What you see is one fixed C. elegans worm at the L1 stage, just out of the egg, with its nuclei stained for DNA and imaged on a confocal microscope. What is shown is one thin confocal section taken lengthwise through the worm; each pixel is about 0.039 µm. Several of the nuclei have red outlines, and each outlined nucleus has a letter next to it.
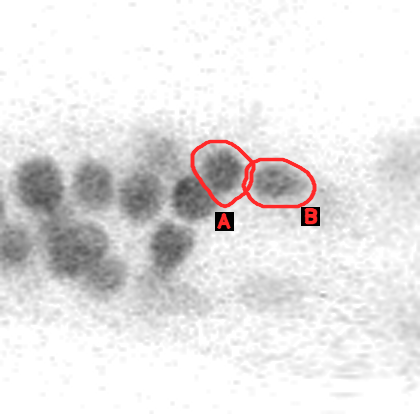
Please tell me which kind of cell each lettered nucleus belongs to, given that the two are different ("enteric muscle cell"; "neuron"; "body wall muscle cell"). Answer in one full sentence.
A is the nucleus of a neuron; B is the nucleus of an enteric muscle cell.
